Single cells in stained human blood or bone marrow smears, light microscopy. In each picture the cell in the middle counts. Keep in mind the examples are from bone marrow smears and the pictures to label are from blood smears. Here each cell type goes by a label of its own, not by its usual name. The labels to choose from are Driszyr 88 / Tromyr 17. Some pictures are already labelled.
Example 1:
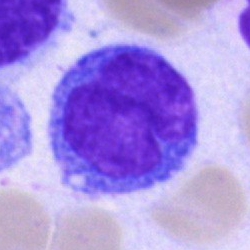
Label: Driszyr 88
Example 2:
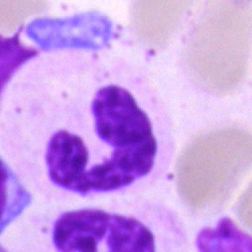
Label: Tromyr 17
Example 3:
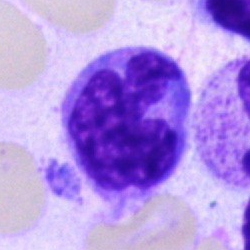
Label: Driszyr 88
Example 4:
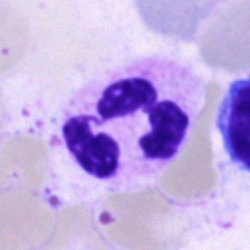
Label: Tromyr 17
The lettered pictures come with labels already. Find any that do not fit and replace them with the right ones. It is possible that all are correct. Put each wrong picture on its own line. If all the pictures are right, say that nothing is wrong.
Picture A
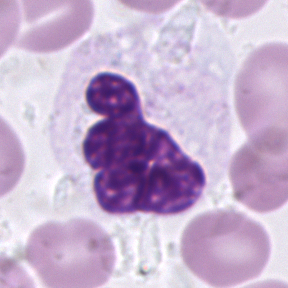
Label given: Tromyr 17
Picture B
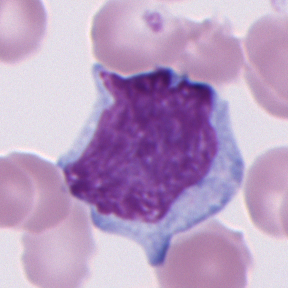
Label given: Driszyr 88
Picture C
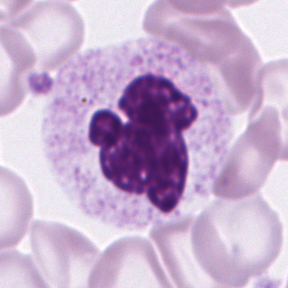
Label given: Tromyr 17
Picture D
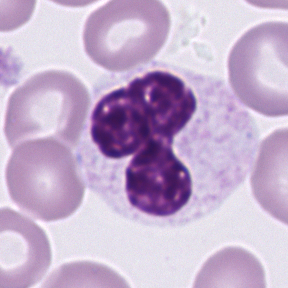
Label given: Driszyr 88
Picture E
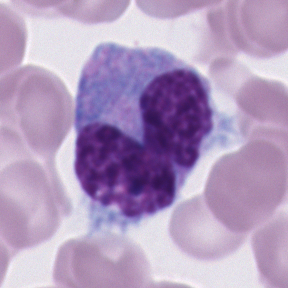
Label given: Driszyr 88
D: change Driszyr 88 to Tromyr 17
